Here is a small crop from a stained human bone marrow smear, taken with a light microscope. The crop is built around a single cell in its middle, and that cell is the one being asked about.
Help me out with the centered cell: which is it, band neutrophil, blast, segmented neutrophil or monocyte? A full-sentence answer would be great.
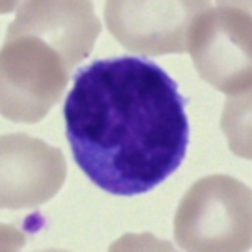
The cell sitting right in the middle is a monocyte.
